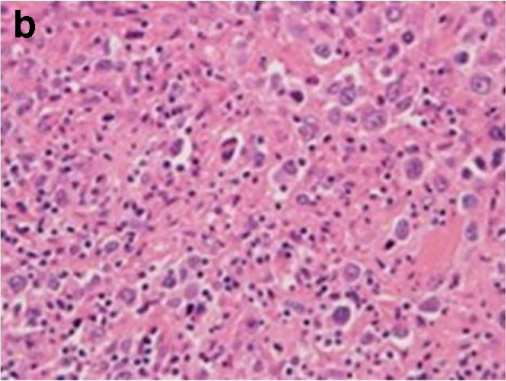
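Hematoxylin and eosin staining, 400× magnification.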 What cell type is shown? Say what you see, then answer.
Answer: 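Scattered large cells with abundant pale pink cytoplasm. Many small cells with dark compact nuclei lie between them.
Atypical large round cells.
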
